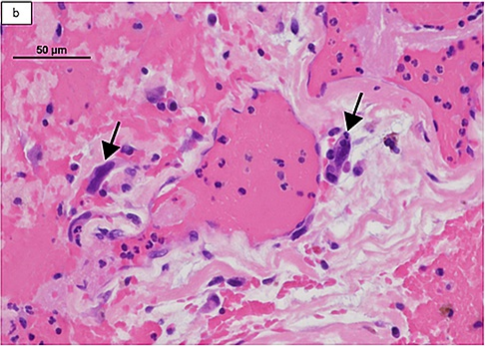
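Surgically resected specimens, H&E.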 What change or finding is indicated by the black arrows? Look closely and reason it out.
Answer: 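The arrowed cells have dark, elongated nuclei clearly larger than those of neighbouring cells. The arrowed nuclei are hyperchromatic and irregular in outline.
Hence: nuclear enlargement and atypia.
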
